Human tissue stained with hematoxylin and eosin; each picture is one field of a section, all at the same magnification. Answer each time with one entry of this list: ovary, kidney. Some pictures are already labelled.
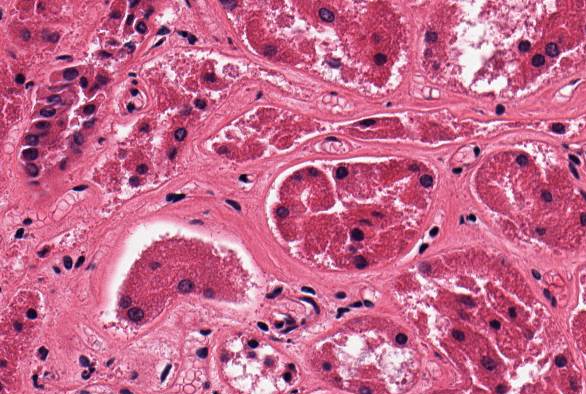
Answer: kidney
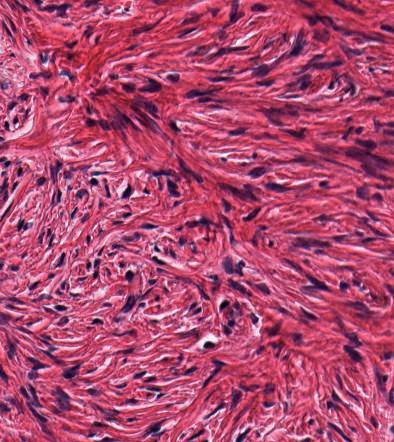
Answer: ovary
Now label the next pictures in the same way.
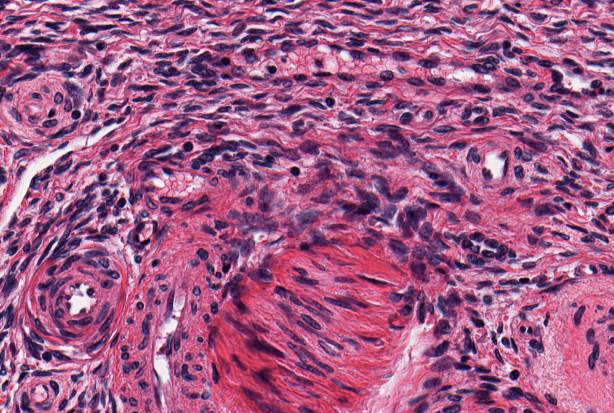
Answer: ovary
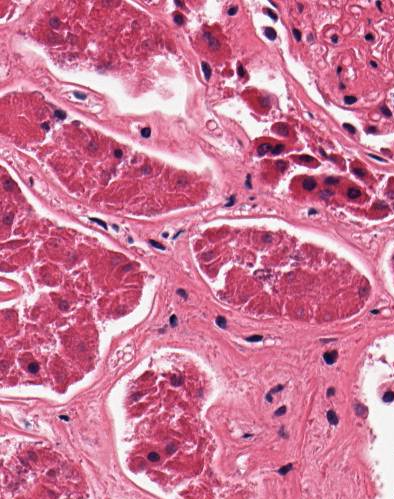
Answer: kidney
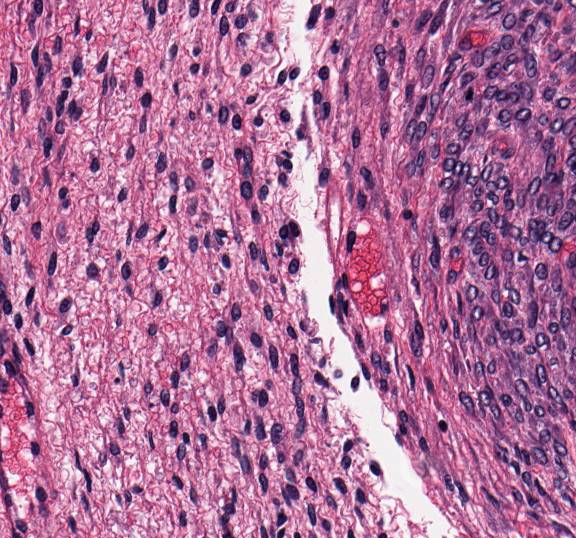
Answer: ovary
